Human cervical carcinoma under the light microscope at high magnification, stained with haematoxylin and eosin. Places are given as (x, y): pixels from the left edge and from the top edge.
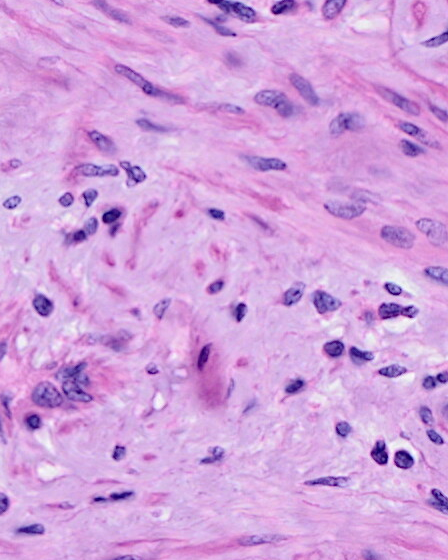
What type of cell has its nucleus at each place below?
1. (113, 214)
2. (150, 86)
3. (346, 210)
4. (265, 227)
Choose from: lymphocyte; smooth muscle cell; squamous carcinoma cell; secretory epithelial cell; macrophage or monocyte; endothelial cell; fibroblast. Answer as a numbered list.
1. lymphocyte
2. smooth muscle cell
3. smooth muscle cell
4. smooth muscle cell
